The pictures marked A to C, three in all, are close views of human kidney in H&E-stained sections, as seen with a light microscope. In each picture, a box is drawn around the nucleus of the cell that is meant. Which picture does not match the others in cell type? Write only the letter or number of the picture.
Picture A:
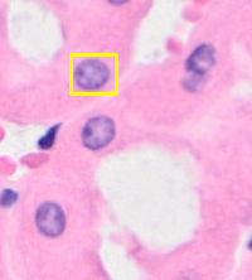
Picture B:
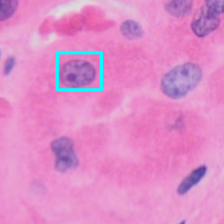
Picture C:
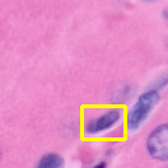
C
